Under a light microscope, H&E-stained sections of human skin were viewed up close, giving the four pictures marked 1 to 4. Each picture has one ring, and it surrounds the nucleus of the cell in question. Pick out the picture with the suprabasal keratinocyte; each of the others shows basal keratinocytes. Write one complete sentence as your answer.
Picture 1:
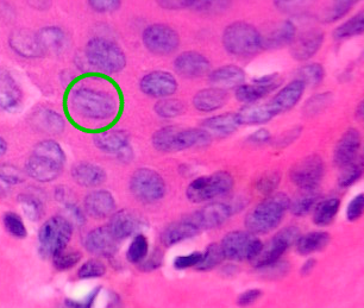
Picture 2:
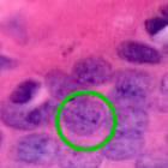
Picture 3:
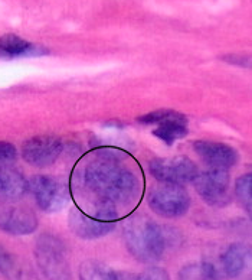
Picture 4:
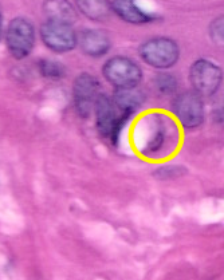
It is picture 1 that shows the suprabasal keratinocyte.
